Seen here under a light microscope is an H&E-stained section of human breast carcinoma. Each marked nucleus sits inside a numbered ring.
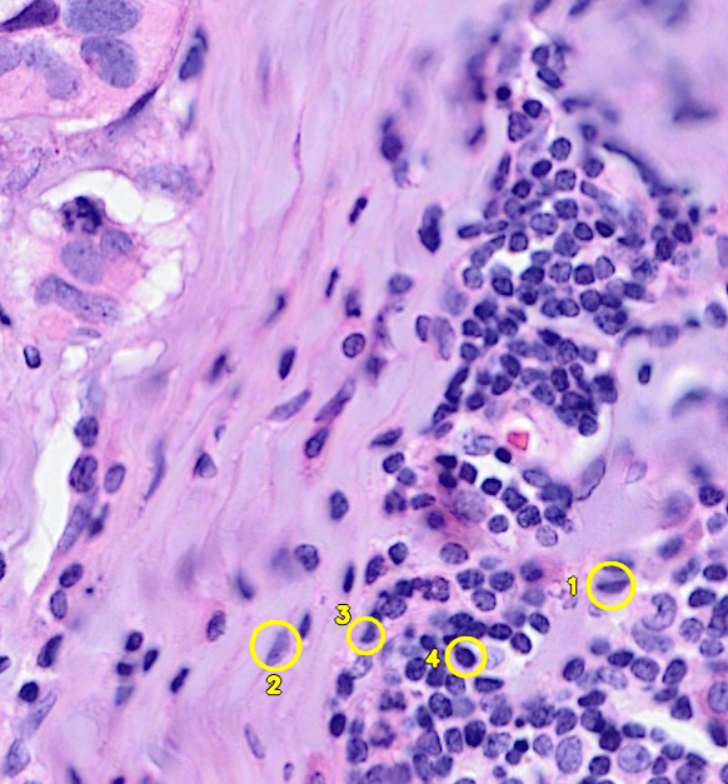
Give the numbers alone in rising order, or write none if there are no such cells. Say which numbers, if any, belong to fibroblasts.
2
